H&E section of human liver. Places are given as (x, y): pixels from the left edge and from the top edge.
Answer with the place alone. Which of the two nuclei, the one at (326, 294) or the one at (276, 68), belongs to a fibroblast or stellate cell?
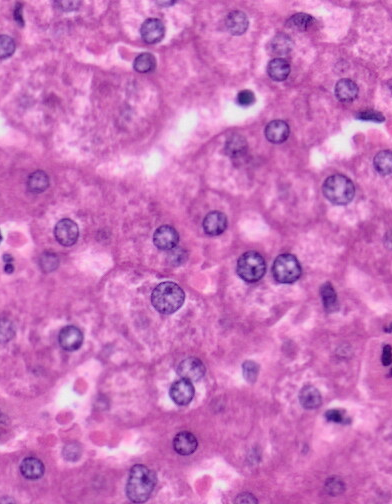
(326, 294)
